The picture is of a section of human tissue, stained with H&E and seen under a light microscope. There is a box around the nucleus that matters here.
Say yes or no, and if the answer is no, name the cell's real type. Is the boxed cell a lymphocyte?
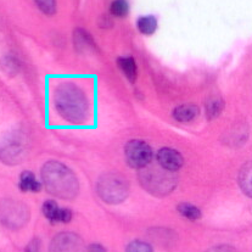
No, it is a squamous epithelial cell.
